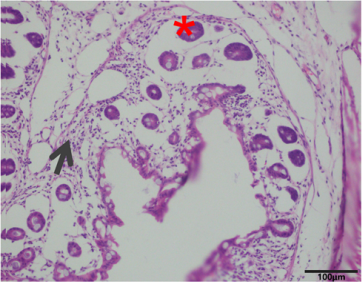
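Colonic mucosa in which round crypts lined by purple-staining goblet cells lie far apart from one another. The pink tissue between the crypts is widened and holds many small dark nuclei, and clear rounded spaces open within it.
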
